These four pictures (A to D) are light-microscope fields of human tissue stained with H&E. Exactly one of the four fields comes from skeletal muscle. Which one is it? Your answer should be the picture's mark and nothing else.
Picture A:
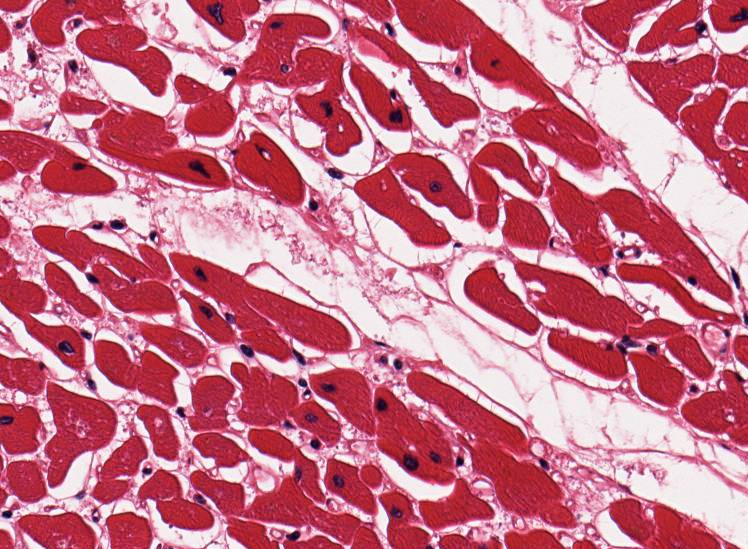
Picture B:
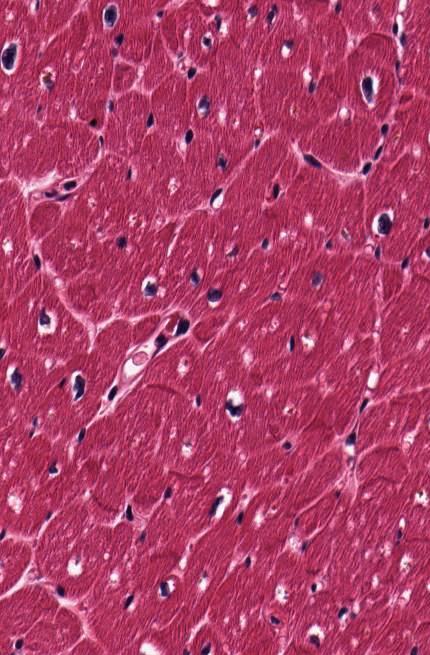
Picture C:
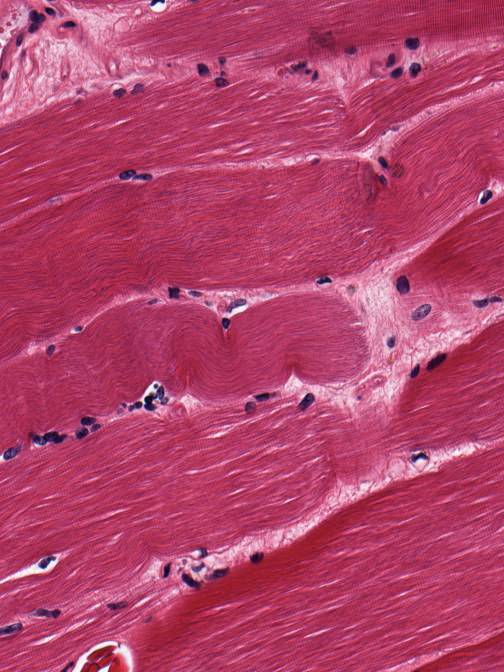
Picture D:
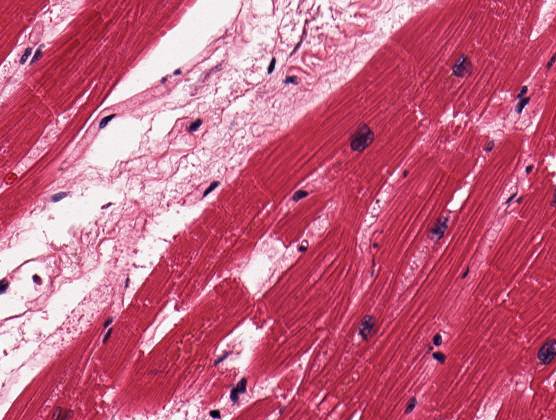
C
